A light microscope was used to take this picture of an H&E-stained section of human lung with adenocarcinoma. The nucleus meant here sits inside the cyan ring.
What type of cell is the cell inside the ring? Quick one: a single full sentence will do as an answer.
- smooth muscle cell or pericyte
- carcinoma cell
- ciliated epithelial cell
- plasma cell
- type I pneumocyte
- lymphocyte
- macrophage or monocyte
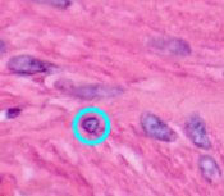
Cytologically, the cell inside the ring is to be regarded as a smooth muscle cell or pericyte.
